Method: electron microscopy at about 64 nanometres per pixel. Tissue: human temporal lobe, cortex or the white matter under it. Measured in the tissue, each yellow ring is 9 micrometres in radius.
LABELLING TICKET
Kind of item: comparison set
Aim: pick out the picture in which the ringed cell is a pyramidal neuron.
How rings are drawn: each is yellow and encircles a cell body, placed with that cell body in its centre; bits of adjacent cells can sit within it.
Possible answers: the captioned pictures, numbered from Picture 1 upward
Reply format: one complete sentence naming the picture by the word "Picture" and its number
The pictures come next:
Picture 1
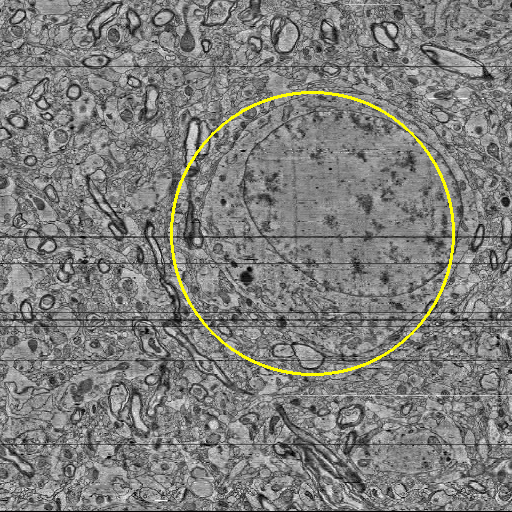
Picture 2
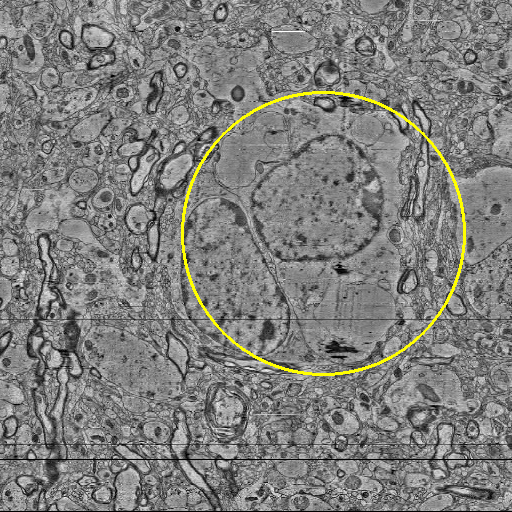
The cell centred inside the yellow ring in Picture 1 is the requested one.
